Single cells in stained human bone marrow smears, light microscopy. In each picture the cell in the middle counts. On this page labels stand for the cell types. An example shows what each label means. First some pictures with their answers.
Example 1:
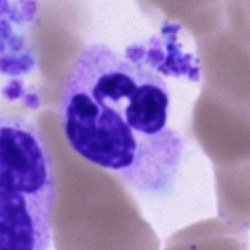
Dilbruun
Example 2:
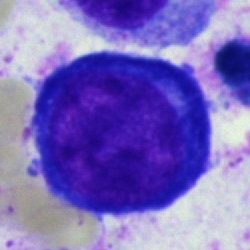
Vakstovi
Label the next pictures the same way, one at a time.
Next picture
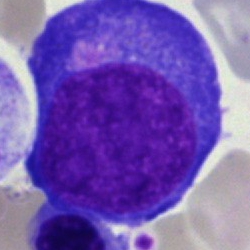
Vakstovi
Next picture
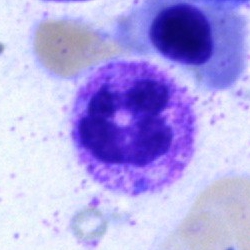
Dilbruun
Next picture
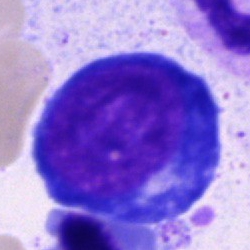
Vakstovi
